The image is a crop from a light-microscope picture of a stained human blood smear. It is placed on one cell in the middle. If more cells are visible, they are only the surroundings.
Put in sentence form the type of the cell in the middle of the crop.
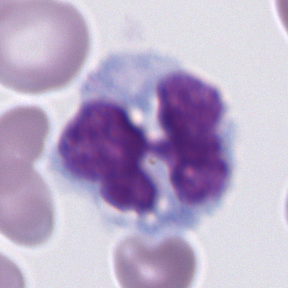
The crop centres on a single cell, and that cell is a monocyte.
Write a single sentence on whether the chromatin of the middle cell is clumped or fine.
The chromatin of this one is coarsely clumped.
